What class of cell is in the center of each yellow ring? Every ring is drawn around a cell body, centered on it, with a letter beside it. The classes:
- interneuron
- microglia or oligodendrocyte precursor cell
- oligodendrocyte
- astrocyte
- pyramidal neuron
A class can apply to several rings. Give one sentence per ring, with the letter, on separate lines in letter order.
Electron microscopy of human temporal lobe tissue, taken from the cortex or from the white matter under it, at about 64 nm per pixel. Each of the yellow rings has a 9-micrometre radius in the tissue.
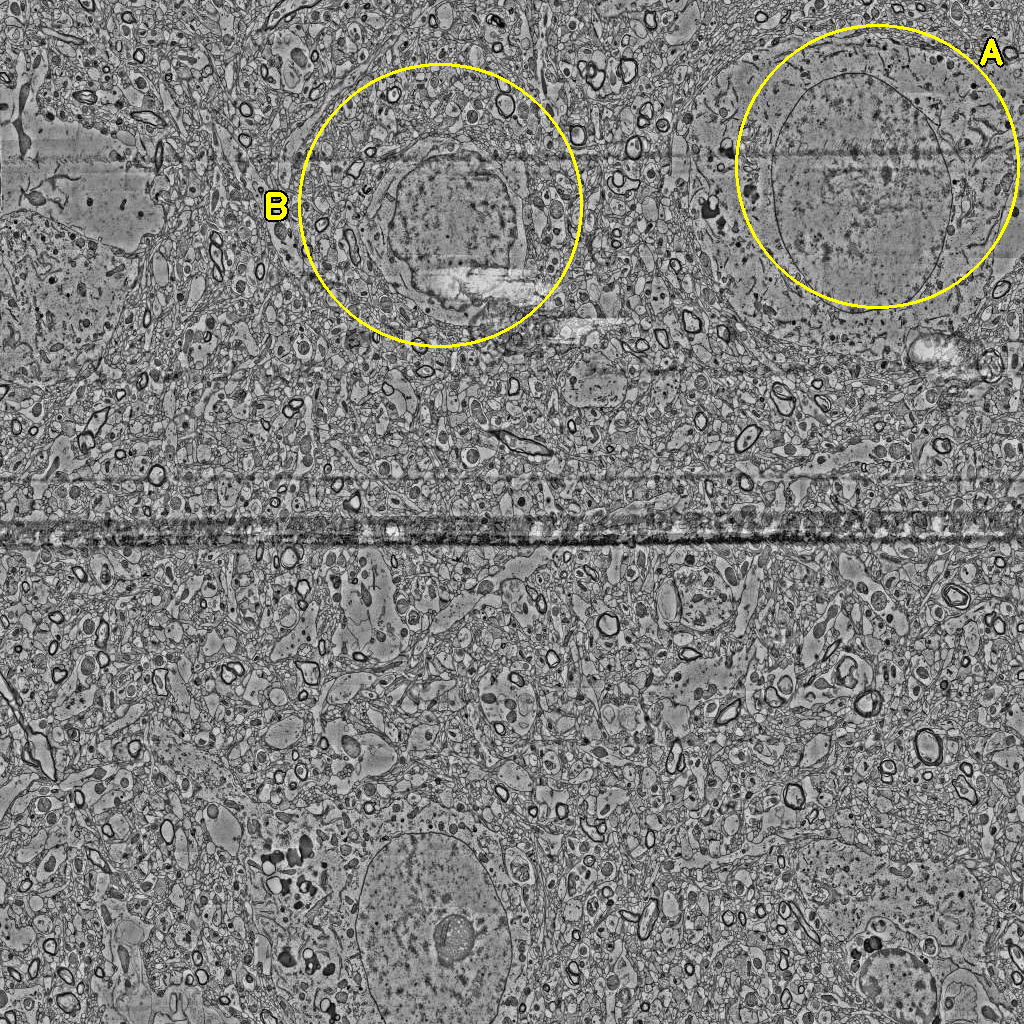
Ring A holds a pyramidal neuron at its center.
Ring B holds an interneuron at its center.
